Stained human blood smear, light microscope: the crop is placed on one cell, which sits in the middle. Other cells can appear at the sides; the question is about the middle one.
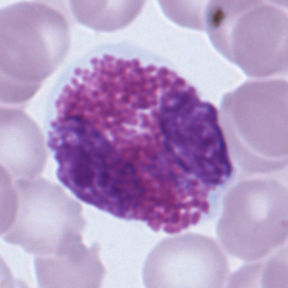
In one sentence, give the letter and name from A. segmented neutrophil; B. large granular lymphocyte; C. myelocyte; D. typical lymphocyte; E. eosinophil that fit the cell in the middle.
The cell right in the middle is an eosinophil, so option E is the one.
